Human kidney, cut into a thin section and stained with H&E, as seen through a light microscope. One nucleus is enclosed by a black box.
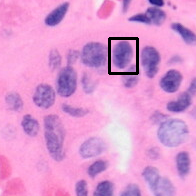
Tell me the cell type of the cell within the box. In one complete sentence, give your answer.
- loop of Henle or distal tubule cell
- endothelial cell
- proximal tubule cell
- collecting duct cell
By its classification, the cell within the box is a collecting duct cell.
